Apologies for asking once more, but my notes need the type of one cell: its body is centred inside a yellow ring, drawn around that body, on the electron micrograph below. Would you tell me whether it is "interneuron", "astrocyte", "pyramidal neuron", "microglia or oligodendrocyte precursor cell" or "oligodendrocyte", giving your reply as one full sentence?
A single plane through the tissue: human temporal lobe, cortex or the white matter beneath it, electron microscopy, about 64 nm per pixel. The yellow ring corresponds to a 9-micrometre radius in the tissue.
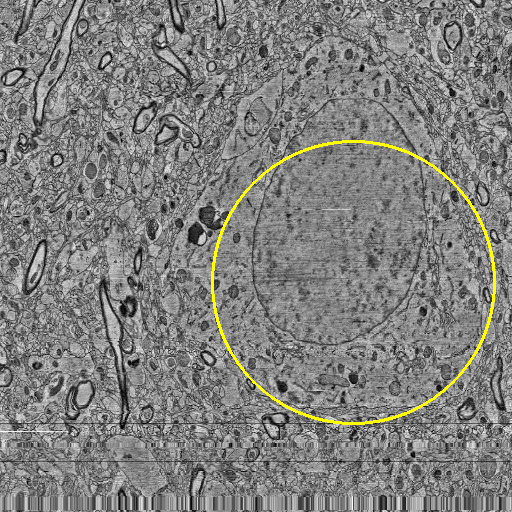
The cell that the yellow ring is centred on is a pyramidal neuron in this micrograph.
